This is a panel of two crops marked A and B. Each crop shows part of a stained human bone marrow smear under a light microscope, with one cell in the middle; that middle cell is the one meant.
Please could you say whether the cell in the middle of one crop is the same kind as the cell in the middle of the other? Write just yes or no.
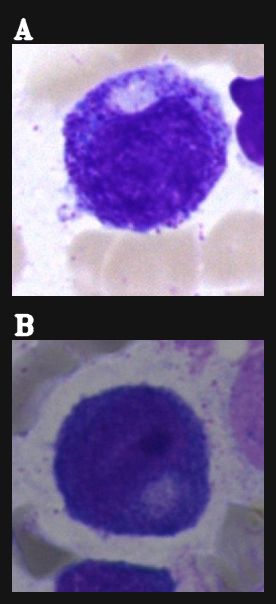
yes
